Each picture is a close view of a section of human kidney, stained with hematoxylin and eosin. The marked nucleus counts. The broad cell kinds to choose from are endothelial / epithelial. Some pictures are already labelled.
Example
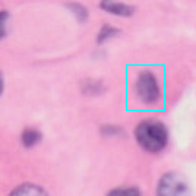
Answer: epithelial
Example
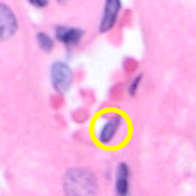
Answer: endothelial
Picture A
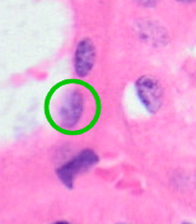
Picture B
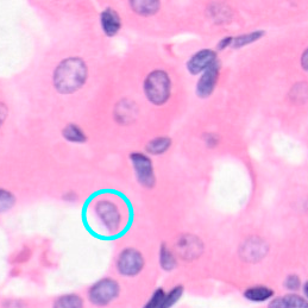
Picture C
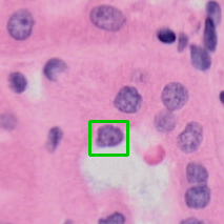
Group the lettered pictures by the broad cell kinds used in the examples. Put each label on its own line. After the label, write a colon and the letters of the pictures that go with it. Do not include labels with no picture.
epithelial: A, B, C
